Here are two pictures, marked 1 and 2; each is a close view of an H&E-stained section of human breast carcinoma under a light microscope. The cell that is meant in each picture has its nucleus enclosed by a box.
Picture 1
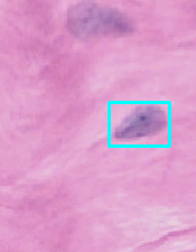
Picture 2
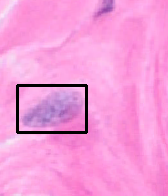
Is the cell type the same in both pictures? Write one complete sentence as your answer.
Yes, both cells are fibroblasts.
